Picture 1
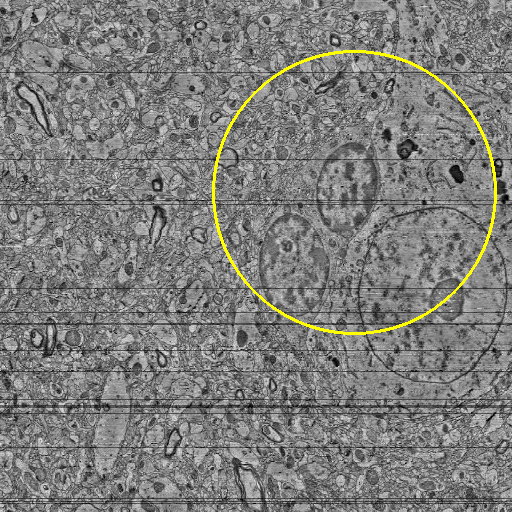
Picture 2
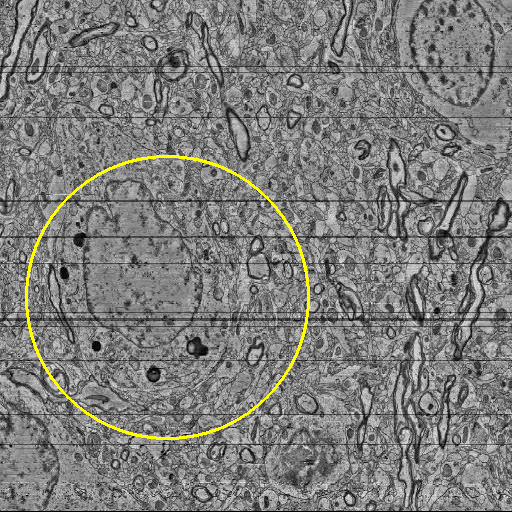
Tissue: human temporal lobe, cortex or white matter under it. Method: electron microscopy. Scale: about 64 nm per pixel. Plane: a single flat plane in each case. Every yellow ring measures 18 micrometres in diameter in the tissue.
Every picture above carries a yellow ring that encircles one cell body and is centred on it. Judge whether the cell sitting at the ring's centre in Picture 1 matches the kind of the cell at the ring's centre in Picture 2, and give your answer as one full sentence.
No, the cells centred in the rings of Pictures 1 and 2 belong to two kinds.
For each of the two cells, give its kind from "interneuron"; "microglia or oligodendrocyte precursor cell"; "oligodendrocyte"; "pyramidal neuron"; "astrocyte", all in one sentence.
The first picture has an oligodendrocyte in its ring, the second has a pyramidal neuron.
